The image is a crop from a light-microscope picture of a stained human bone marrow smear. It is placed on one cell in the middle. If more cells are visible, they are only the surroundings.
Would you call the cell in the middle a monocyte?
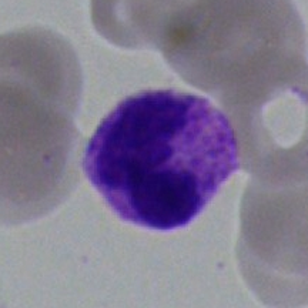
no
